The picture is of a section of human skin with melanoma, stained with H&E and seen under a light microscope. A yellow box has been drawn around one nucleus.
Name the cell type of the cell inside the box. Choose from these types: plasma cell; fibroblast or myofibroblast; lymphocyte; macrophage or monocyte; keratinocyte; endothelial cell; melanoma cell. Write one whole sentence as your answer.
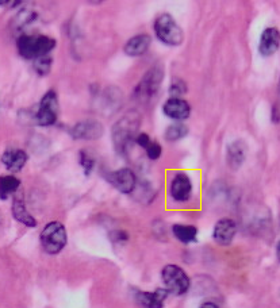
Within the stained tissue, the cell inside the box is a lymphocyte.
